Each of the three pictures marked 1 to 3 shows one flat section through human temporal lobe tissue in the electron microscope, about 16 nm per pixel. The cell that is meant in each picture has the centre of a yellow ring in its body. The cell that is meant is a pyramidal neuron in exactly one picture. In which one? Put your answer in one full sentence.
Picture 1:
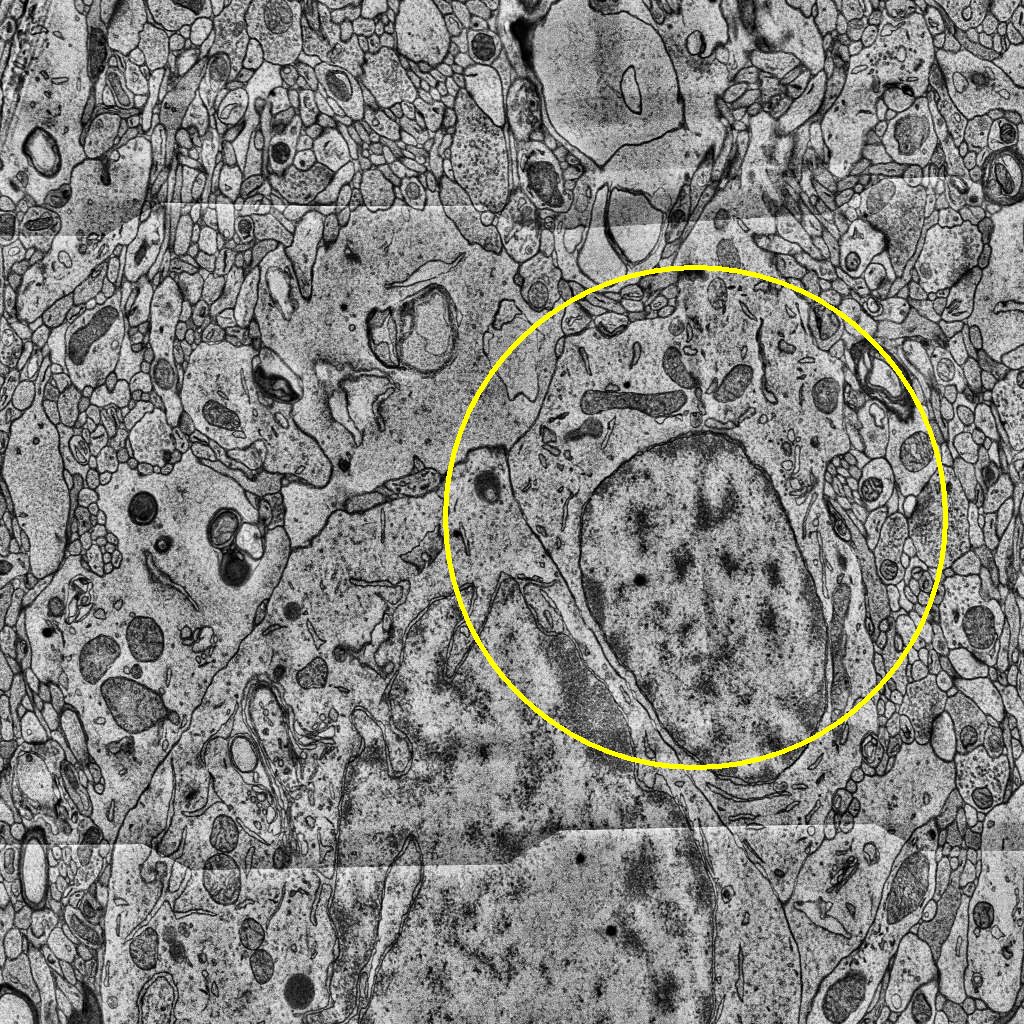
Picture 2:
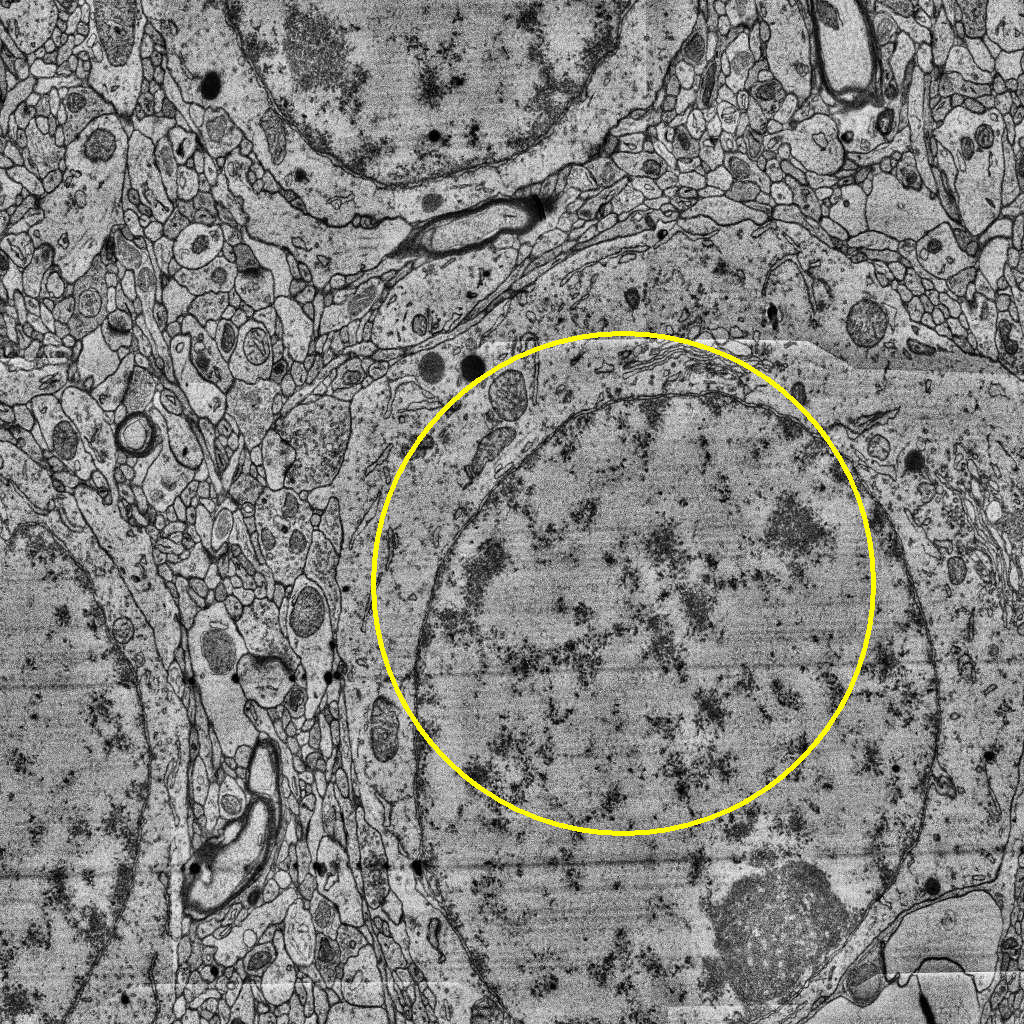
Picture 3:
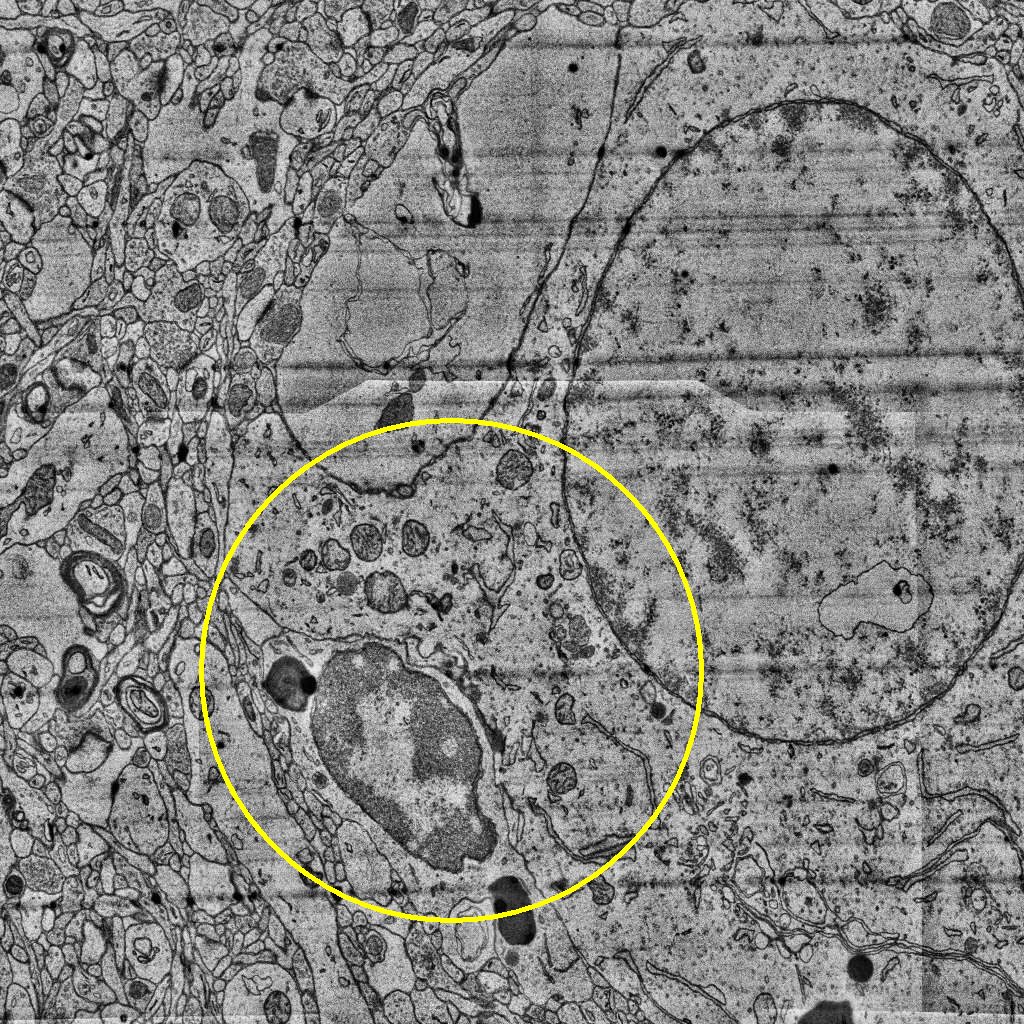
The pyramidal neuron is the one in picture 2.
